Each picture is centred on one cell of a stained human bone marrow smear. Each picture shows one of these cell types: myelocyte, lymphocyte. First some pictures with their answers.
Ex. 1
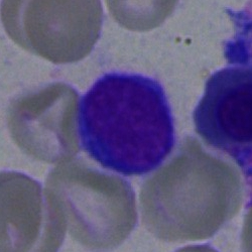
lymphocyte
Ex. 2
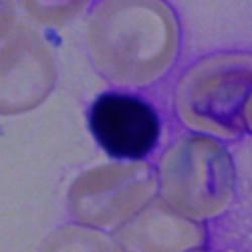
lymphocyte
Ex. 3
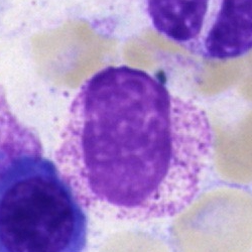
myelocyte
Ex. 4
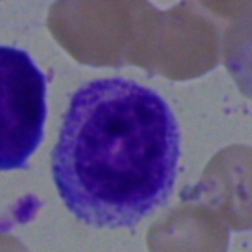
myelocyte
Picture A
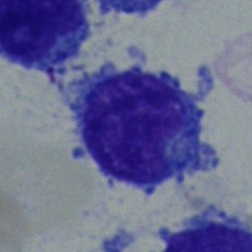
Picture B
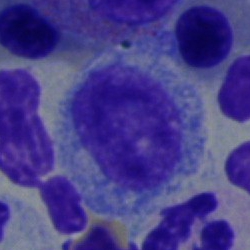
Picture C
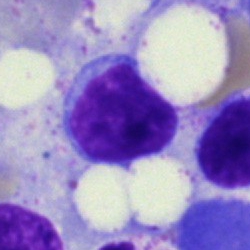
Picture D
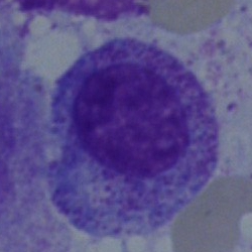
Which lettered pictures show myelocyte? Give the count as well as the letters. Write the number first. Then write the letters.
Count: 2 (B, D)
